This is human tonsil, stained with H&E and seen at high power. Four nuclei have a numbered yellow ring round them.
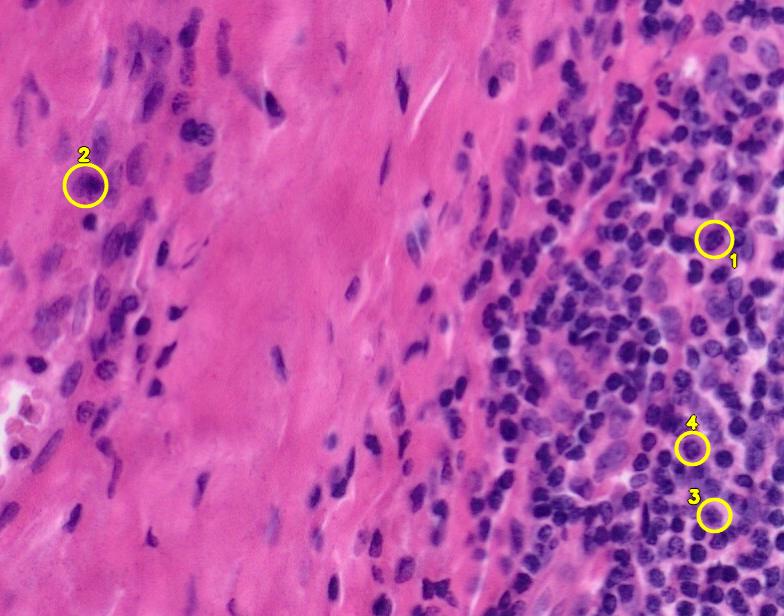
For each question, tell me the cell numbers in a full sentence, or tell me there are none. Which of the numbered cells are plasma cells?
Cells numbered 1 and 4 belong to the group of plasma cells.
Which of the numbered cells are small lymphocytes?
Cell 3 is the single numbered cell that is a small lymphocyte.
